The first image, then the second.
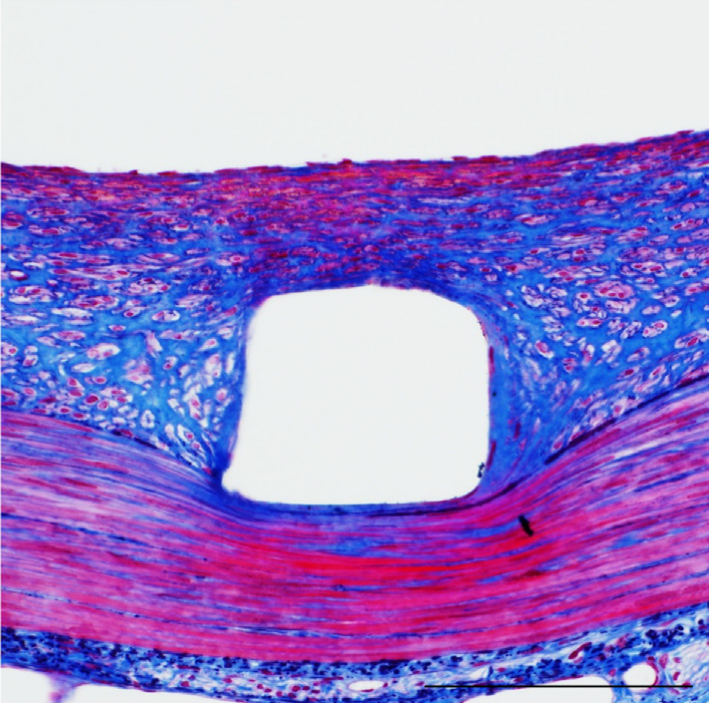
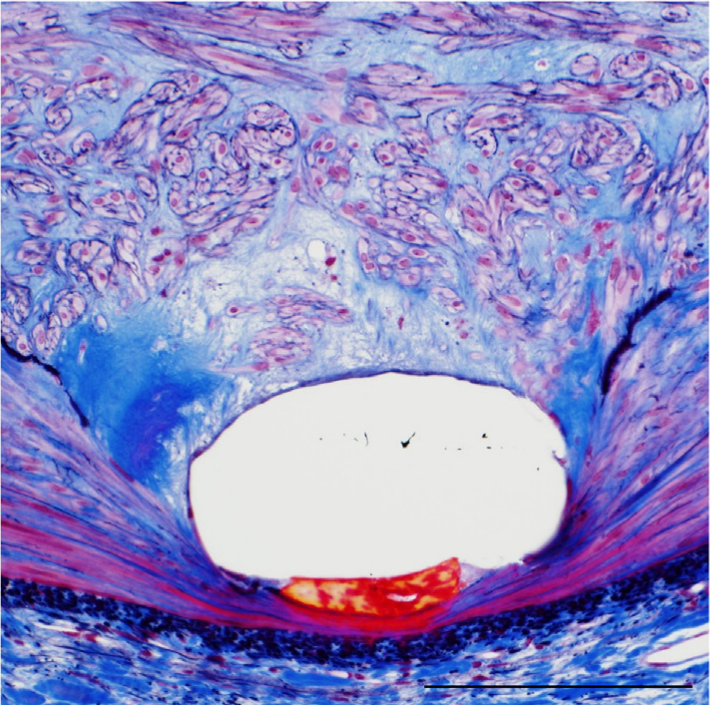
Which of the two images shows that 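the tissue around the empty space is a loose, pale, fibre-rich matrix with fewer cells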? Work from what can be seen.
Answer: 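First image: dense tissue crowded with red-purple cells in blue matrix over the empty space. Second image: pale, loose blue matrix with a cleared area beside the empty space and less densely packed cells.
Answer: the second image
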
